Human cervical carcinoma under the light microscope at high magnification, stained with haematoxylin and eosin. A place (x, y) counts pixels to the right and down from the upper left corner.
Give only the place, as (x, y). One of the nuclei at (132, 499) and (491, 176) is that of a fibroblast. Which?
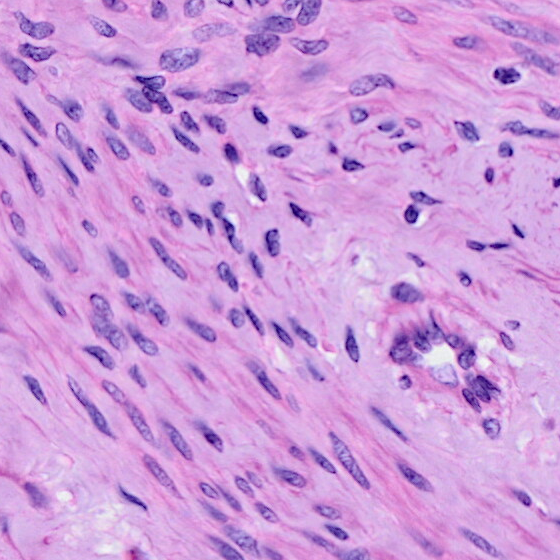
(132, 499)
